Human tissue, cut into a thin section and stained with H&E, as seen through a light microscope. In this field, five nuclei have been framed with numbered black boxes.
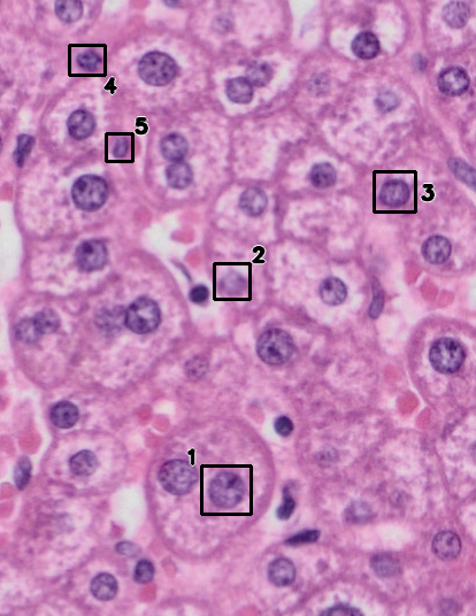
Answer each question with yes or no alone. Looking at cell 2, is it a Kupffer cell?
no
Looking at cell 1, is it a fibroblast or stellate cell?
no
